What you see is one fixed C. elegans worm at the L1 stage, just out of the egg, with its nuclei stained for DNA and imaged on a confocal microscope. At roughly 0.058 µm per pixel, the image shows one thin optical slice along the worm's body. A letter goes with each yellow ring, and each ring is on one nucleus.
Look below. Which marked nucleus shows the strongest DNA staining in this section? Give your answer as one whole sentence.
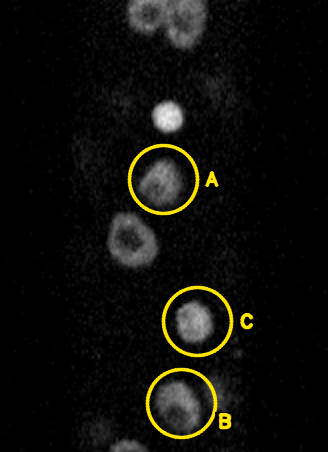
C is the most strongly stained.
